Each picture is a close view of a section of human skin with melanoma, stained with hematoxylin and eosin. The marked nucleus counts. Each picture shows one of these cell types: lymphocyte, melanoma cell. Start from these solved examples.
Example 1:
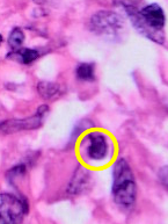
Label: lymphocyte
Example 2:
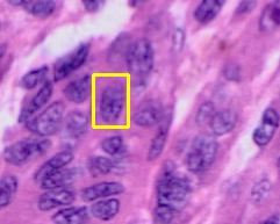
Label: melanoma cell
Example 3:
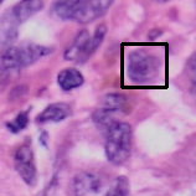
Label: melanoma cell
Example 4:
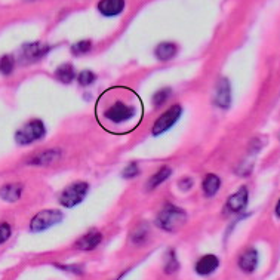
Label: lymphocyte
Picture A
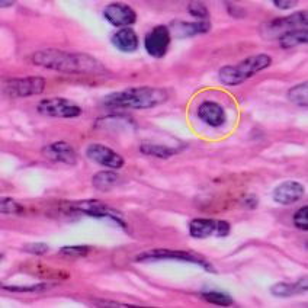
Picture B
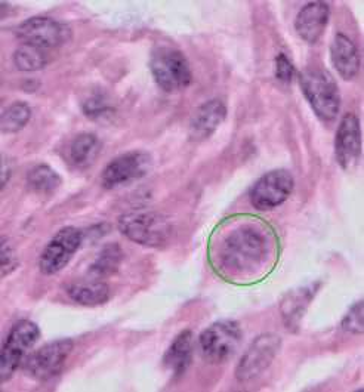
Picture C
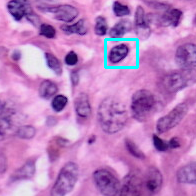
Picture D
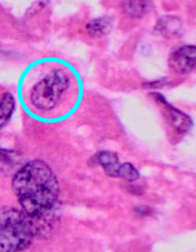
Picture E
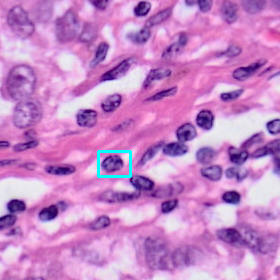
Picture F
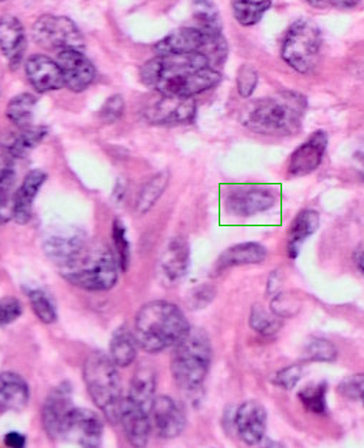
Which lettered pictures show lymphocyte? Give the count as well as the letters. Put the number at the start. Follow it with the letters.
Count: 3 (A, C, E)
